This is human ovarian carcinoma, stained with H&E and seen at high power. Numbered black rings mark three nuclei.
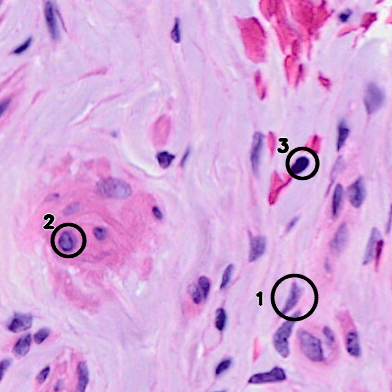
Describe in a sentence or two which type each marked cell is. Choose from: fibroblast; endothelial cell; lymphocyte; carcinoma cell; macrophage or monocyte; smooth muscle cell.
Cell 1 is a fibroblast. Cell 2 is a smooth muscle cell. Cell 3 is a lymphocyte.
